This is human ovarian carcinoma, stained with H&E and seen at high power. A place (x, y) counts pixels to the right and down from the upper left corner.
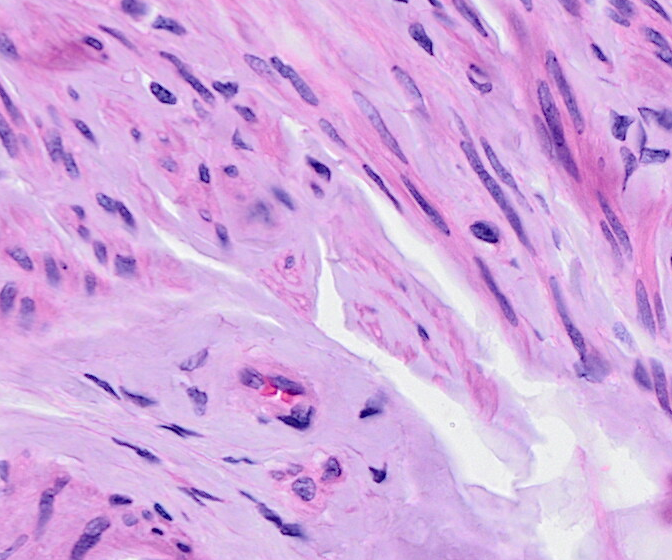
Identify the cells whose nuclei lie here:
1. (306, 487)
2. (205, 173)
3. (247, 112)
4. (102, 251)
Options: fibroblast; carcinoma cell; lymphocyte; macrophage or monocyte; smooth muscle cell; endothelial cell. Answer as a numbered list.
1. endothelial cell
2. smooth muscle cell
3. smooth muscle cell
4. smooth muscle cell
